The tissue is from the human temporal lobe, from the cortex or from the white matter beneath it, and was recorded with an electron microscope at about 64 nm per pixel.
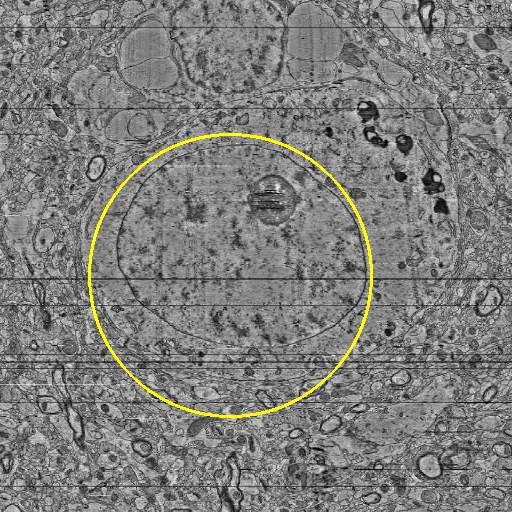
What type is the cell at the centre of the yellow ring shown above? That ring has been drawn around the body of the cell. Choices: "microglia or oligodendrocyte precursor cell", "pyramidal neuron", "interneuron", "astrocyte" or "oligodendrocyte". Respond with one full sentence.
My answer is that a pyramidal neuron lies at the centre of the yellow ring above.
